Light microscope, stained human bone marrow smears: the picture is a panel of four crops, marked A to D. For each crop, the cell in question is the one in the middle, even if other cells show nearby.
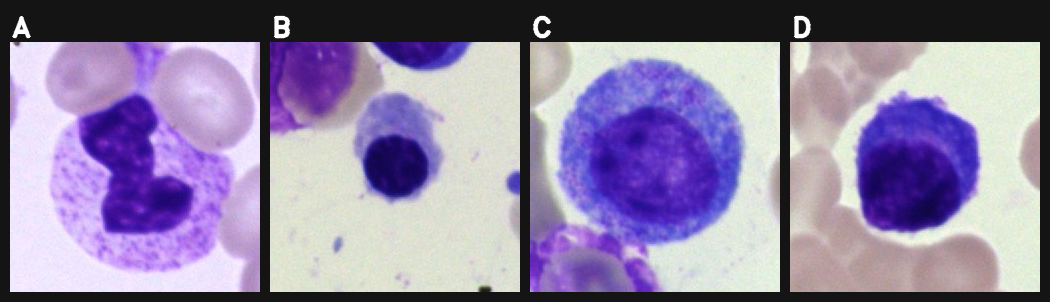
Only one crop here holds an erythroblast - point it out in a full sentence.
Within this set, crop B is the one with an erythroblast at its center.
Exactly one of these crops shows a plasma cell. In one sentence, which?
As for which crop shows a plasma cell, it is crop D.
